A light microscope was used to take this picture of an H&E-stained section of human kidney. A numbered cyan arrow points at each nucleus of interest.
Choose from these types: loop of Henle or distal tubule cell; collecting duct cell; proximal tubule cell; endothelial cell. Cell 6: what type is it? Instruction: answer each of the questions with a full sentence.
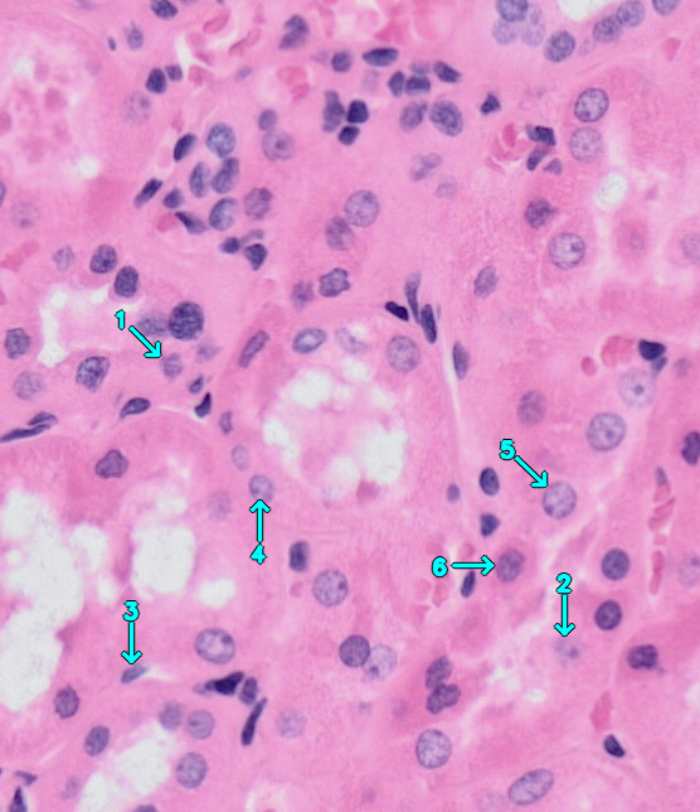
Here the cell numbered 6 is a proximal tubule cell.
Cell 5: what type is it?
Corresponding to a proximal tubule cell is the cell labelled 5.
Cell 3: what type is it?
That cell with number 3 is an endothelial cell.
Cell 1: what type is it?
The cell identified by the number 1 is a loop of Henle or distal tubule cell.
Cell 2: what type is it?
The cell pointed out as number 2 is a proximal tubule cell.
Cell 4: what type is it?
Corresponding to a proximal tubule cell is the cell labelled 4.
